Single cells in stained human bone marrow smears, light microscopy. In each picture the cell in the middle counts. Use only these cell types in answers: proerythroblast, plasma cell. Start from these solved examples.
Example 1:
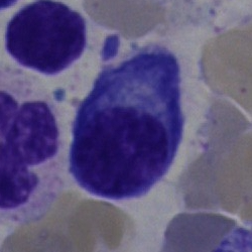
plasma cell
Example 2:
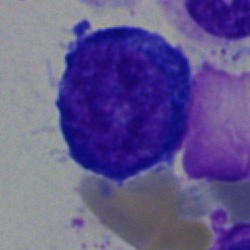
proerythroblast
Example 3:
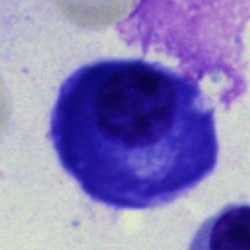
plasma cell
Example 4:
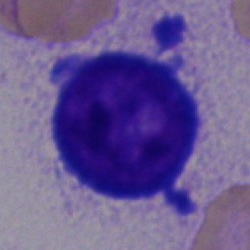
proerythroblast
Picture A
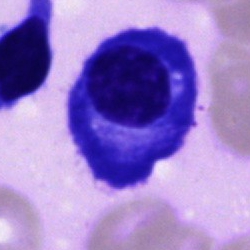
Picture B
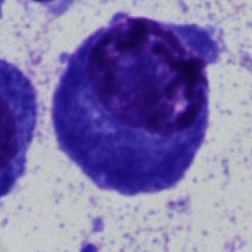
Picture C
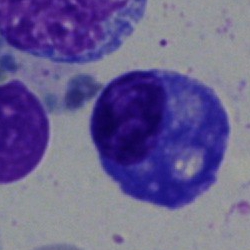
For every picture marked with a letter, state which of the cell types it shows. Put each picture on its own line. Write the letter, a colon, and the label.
A: plasma cell
B: plasma cell
C: plasma cell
